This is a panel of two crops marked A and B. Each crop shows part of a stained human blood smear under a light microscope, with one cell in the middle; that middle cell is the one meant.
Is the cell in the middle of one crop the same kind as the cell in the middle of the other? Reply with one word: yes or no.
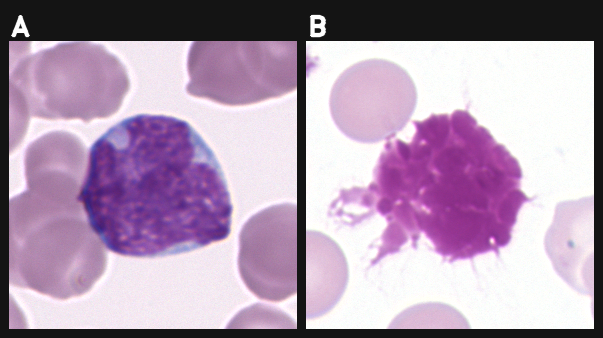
no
